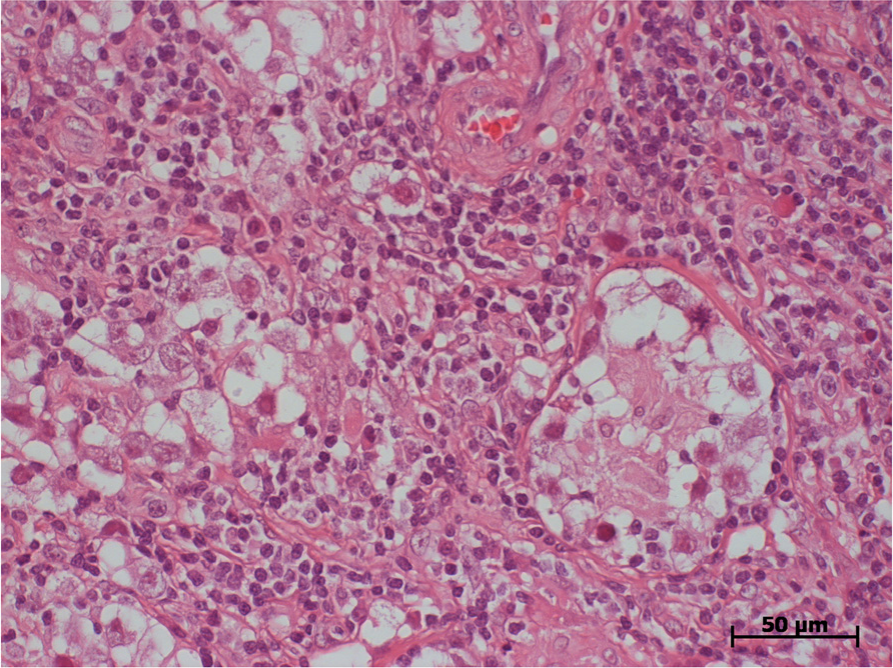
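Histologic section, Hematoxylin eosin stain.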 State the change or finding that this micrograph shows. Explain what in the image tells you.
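Seminoma. Sheets and nests of large cells with clear, pale cytoplasm and large round nuclei. Many small dark round lymphocytes lie between the large clear cells. Thin pink fibrous strands run between groups of tumour cells.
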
